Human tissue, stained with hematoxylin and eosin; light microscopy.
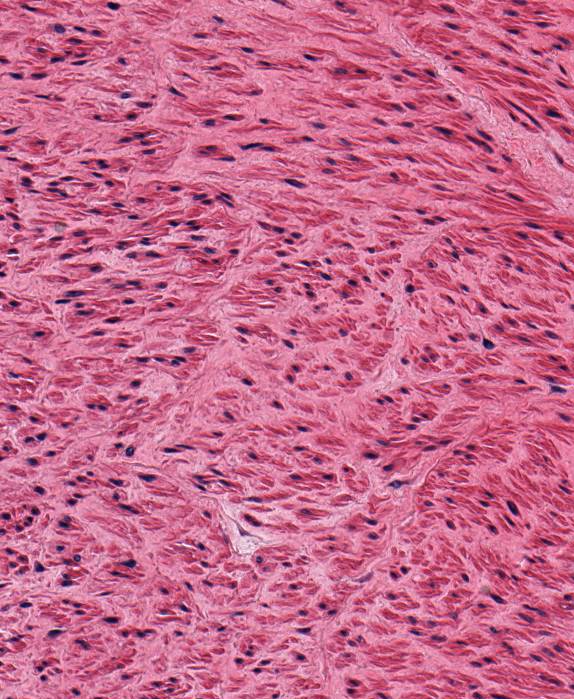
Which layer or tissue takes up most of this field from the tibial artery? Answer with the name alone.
tunica media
